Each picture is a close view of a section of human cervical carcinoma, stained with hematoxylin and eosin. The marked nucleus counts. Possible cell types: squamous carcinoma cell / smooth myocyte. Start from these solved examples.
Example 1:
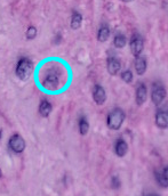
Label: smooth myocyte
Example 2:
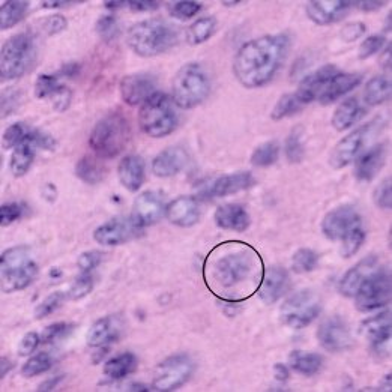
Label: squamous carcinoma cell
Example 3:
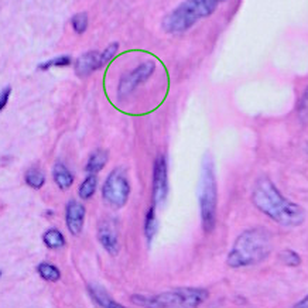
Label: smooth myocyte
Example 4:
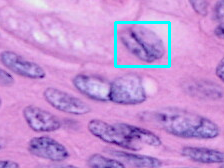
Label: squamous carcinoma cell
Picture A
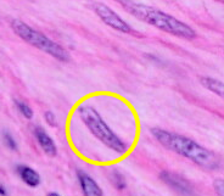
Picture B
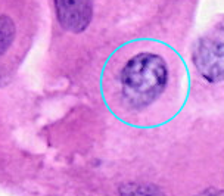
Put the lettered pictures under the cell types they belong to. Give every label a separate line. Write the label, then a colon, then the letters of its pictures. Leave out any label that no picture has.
squamous carcinoma cell: B
smooth myocyte: A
